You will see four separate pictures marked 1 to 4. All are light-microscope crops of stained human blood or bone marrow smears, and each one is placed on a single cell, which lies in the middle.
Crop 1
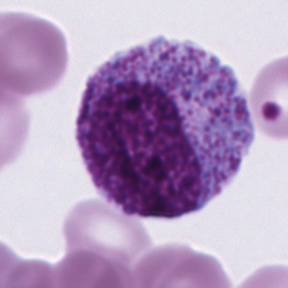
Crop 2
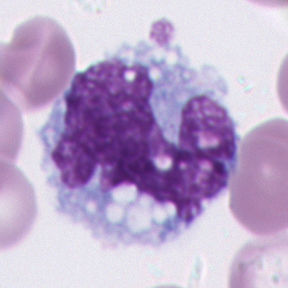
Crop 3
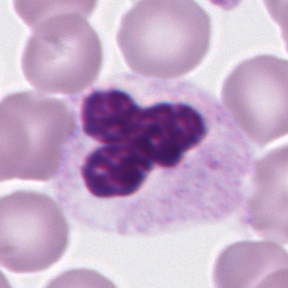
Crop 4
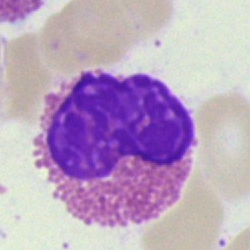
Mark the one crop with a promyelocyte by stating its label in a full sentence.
When the crops are compared, crop 1 is the one showing a promyelocyte.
